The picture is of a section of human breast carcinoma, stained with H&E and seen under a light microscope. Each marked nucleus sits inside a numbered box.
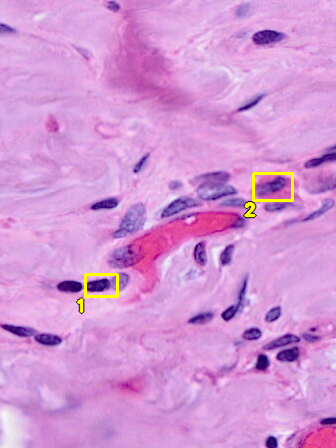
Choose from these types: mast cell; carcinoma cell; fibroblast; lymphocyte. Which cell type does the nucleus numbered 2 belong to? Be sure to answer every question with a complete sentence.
The nucleus labelled 2 belongs to a mast cell.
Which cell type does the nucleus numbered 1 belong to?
Among the marked cells, number 1 is a lymphocyte.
